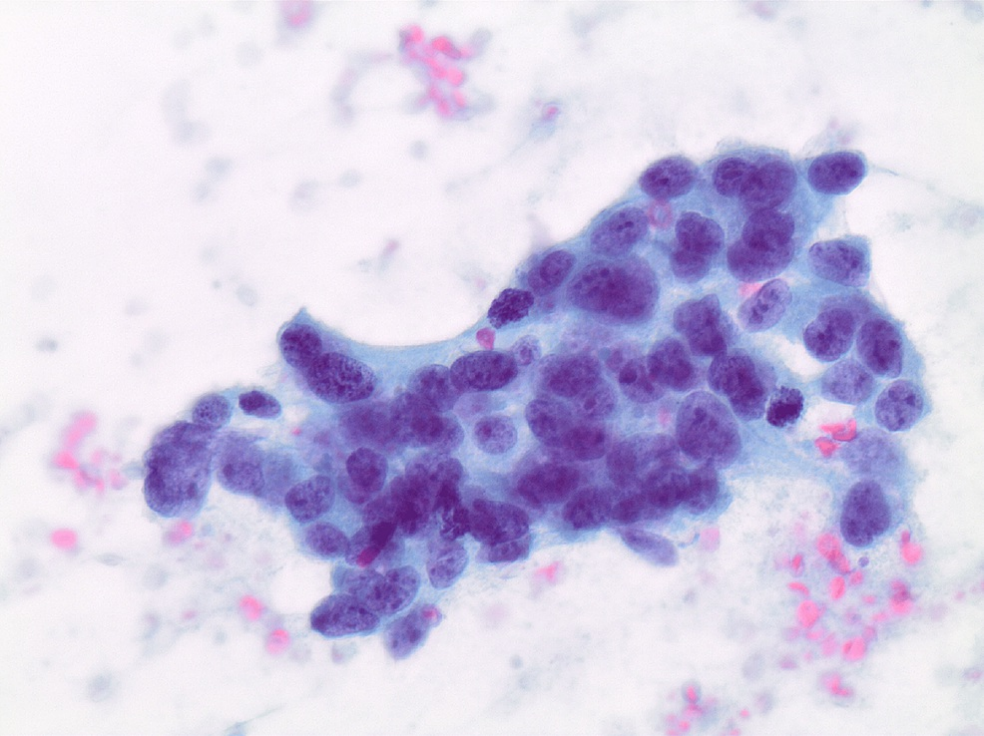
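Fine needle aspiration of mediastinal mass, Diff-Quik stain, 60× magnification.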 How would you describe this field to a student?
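The nuclei are enlarged, oval to irregular and vary in size, with coarse dark purple chromatin. They are crowded and overlapping within a shared pale blue cytoplasm with indistinct cell borders, giving a high ratio of nucleus to cytoplasm.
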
